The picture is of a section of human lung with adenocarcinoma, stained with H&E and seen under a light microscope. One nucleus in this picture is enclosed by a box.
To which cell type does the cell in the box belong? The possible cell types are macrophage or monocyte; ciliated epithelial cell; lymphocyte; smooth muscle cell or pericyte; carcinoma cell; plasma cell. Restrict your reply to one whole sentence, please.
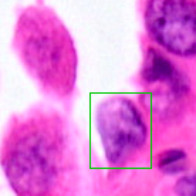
On this particular slide, the cell in the box is a carcinoma cell.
